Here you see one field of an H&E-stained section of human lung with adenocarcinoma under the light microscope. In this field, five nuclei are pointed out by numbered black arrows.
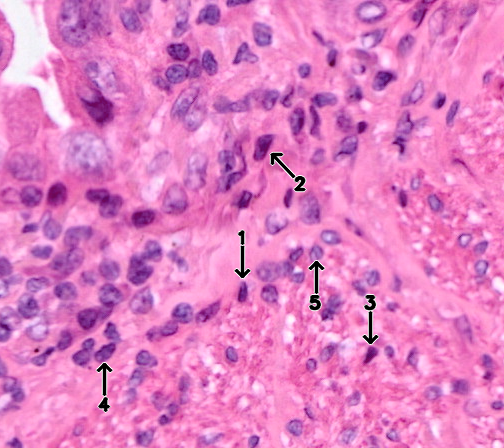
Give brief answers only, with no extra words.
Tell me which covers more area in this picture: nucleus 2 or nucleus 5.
2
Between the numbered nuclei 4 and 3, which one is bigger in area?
4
